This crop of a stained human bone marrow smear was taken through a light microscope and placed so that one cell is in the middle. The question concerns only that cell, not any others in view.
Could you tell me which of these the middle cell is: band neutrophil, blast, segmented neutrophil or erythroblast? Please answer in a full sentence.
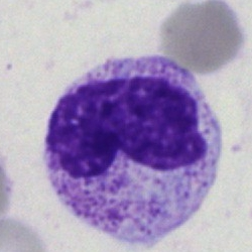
The identification for the central cell is a band neutrophil.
